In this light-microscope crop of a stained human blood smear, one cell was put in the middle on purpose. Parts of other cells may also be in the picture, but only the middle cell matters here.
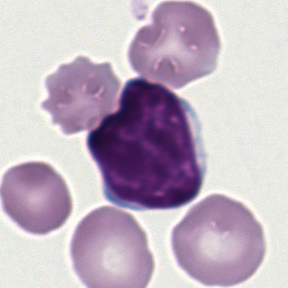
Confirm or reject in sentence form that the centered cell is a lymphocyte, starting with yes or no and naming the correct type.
Yes, the cell that the crop is centred on is a lymphocyte.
